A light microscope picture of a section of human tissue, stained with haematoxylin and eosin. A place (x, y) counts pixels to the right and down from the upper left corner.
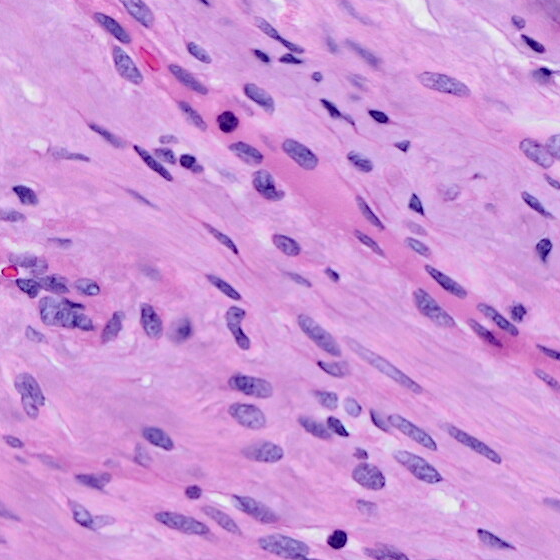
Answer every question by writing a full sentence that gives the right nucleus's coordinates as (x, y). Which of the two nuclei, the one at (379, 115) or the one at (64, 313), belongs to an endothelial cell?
Of these two nuclei, only the one at (64, 313) belongs to an endothelial cell.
